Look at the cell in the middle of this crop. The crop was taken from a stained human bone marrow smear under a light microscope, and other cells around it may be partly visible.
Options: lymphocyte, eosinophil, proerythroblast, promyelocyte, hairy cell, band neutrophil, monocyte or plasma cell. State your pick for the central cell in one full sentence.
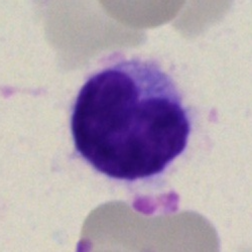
Framed in the middle of the crop is a hairy cell.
